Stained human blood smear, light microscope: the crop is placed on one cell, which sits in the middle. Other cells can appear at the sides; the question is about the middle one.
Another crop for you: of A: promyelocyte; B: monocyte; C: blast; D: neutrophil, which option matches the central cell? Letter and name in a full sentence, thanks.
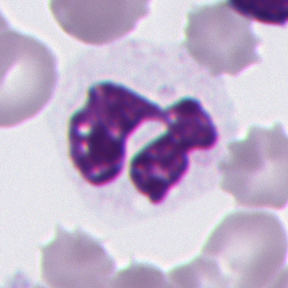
The cell in the middle is a neutrophil, and that makes option D correct.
